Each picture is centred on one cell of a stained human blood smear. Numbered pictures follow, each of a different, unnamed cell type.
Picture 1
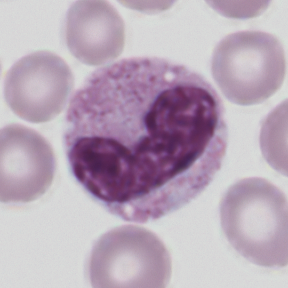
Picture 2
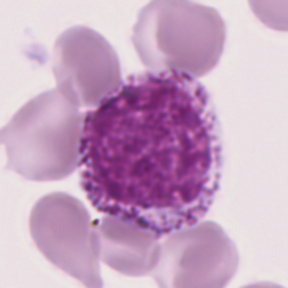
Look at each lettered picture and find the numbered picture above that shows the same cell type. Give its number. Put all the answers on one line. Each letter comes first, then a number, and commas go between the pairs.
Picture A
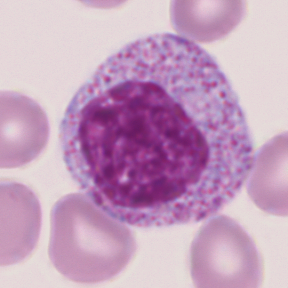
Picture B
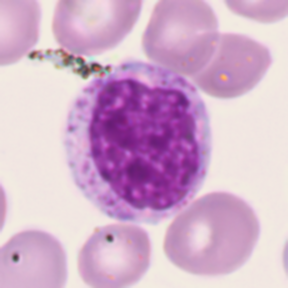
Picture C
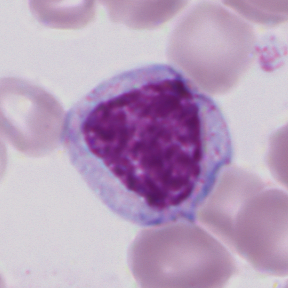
A 2, B 2, C 2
